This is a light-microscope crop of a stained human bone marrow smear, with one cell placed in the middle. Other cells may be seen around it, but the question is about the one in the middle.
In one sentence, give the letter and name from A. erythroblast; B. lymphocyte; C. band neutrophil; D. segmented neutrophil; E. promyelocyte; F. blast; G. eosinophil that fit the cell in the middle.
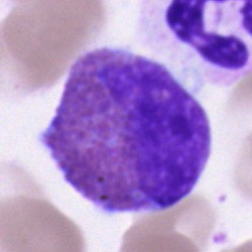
Well, the cell in the middle is an eosinophil, making option G right.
